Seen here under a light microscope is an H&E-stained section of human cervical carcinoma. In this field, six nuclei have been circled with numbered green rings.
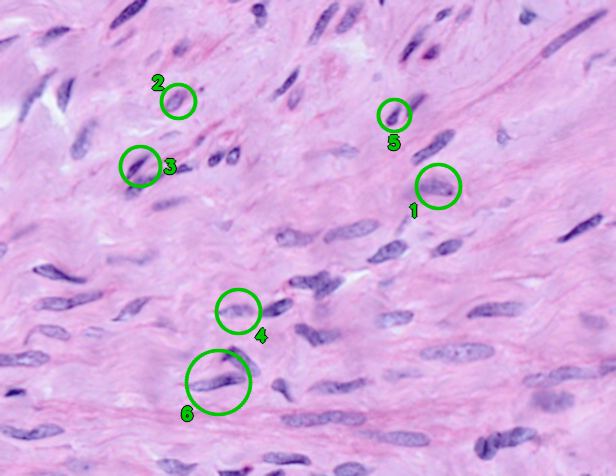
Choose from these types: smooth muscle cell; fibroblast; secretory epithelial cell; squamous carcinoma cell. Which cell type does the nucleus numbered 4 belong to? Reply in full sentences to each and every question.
The cell referenced by the number 4 is a fibroblast in this field.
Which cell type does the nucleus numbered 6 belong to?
The cell carrying label 6 is identified as a fibroblast.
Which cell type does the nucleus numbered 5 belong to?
The correct label for cell 5 is a fibroblast.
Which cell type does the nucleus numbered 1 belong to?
The cell tagged with 1 in this tissue section is a smooth muscle cell.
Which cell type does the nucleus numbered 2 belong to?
The cell that carries the label 2 is a smooth muscle cell.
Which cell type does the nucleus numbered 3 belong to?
Identified by the number 3, the cell is a fibroblast.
